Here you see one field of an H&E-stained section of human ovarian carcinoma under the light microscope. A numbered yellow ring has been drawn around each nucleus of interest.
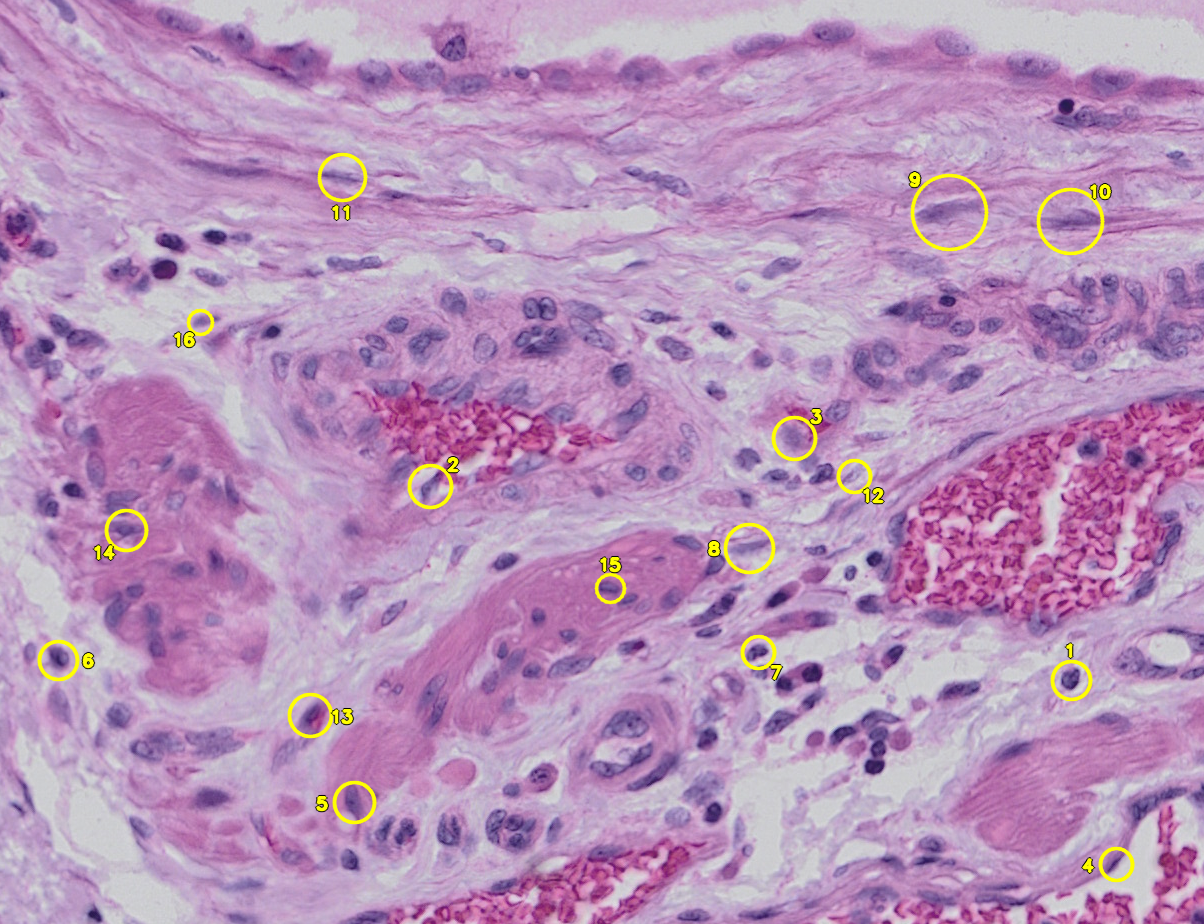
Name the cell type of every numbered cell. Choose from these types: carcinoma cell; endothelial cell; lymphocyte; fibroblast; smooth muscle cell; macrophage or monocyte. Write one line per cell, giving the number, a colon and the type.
1: lymphocyte
2: endothelial cell
3: endothelial cell
4: endothelial cell
5: smooth muscle cell
6: macrophage or monocyte
7: lymphocyte
8: fibroblast
9: fibroblast
10: fibroblast
11: fibroblast
12: fibroblast
13: endothelial cell
14: smooth muscle cell
15: smooth muscle cell
16: macrophage or monocyte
